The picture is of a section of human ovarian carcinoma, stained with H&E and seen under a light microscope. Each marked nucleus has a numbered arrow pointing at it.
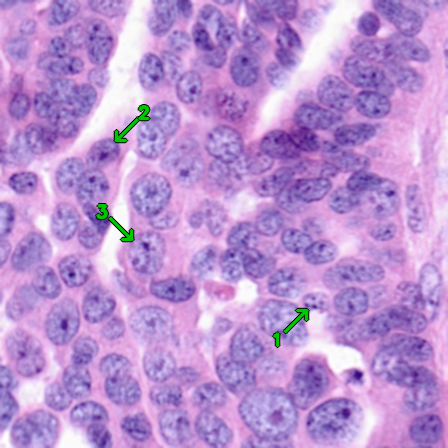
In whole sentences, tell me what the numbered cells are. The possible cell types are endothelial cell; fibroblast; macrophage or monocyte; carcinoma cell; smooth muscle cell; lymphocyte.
Cell 1 is a macrophage or monocyte, cell 2 is a carcinoma cell and cell 3 is a carcinoma cell.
